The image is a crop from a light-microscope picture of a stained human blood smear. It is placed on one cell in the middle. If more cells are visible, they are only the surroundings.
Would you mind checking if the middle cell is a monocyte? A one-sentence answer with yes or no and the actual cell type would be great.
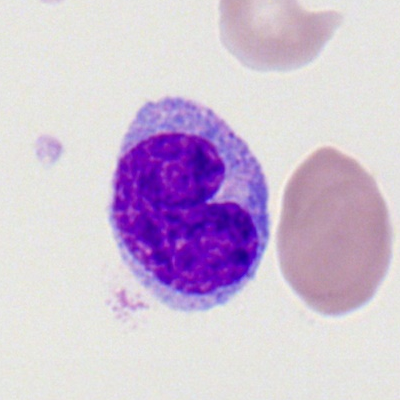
Yes, a monocyte is the cell positioned in the middle of the field.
